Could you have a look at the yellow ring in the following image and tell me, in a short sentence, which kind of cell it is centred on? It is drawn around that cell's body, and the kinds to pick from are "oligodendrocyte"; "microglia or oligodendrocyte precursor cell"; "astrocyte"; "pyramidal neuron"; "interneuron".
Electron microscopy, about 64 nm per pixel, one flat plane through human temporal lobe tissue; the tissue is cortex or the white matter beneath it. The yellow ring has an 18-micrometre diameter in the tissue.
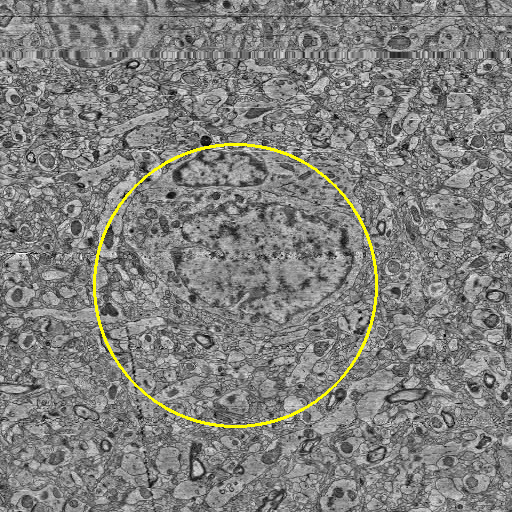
The ring is centred on the body of an interneuron.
